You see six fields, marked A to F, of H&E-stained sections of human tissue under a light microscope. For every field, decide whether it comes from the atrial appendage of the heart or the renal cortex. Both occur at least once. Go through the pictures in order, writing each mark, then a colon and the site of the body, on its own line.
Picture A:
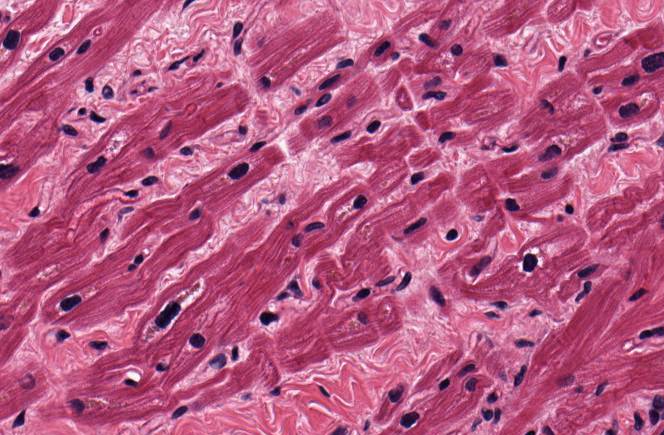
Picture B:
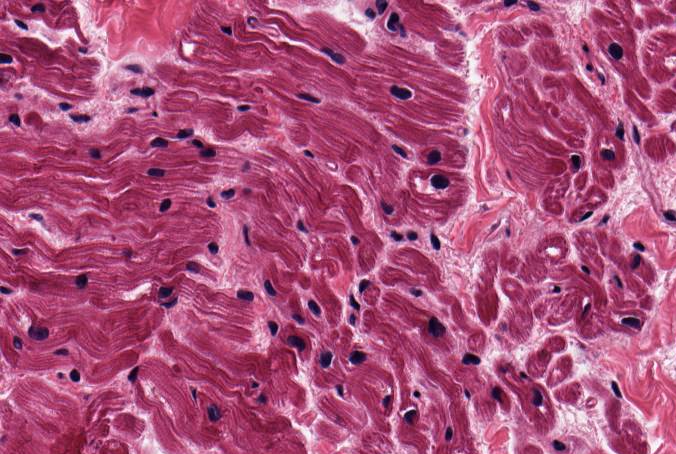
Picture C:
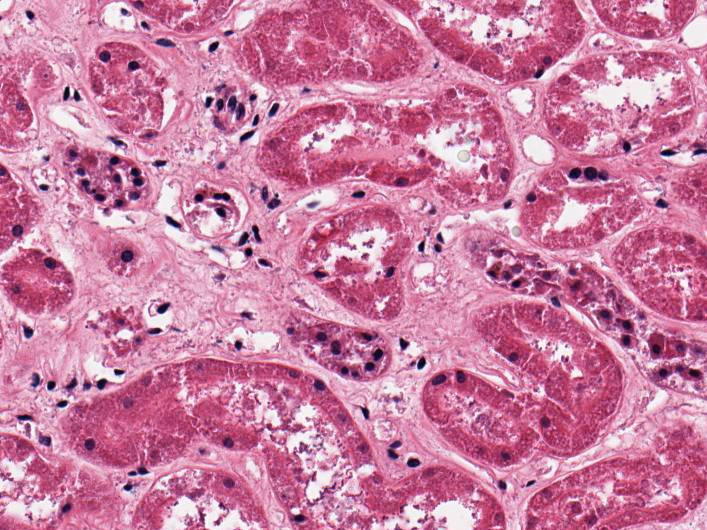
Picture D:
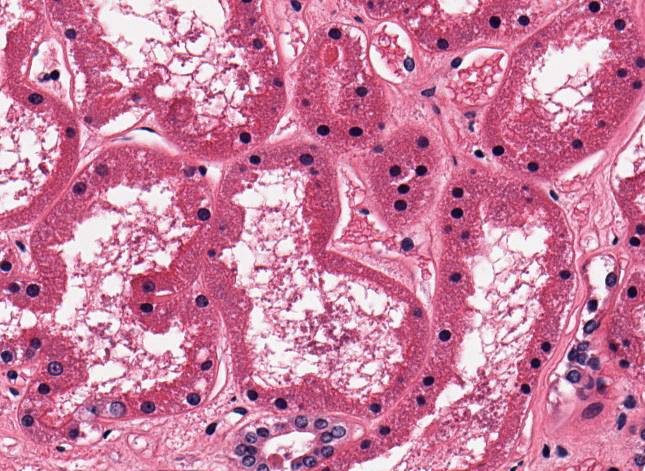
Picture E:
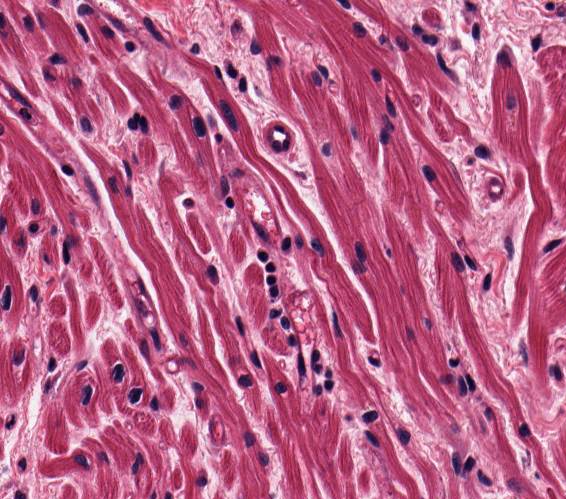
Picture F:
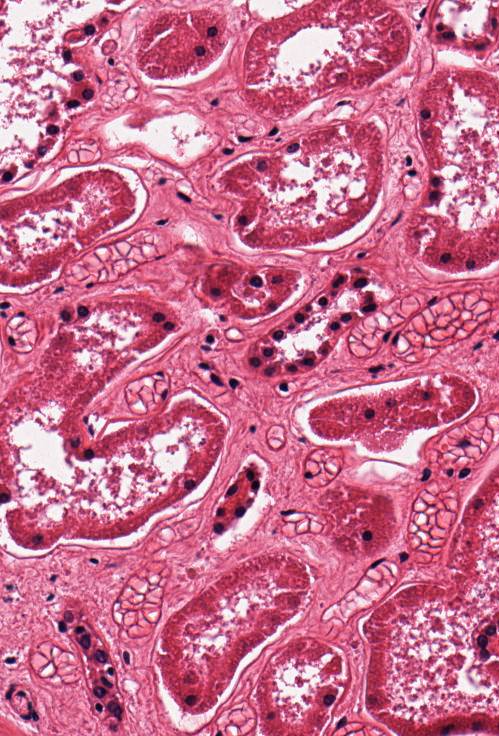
A: atrial appendage of the heart
B: atrial appendage of the heart
C: renal cortex
D: renal cortex
E: atrial appendage of the heart
F: renal cortex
